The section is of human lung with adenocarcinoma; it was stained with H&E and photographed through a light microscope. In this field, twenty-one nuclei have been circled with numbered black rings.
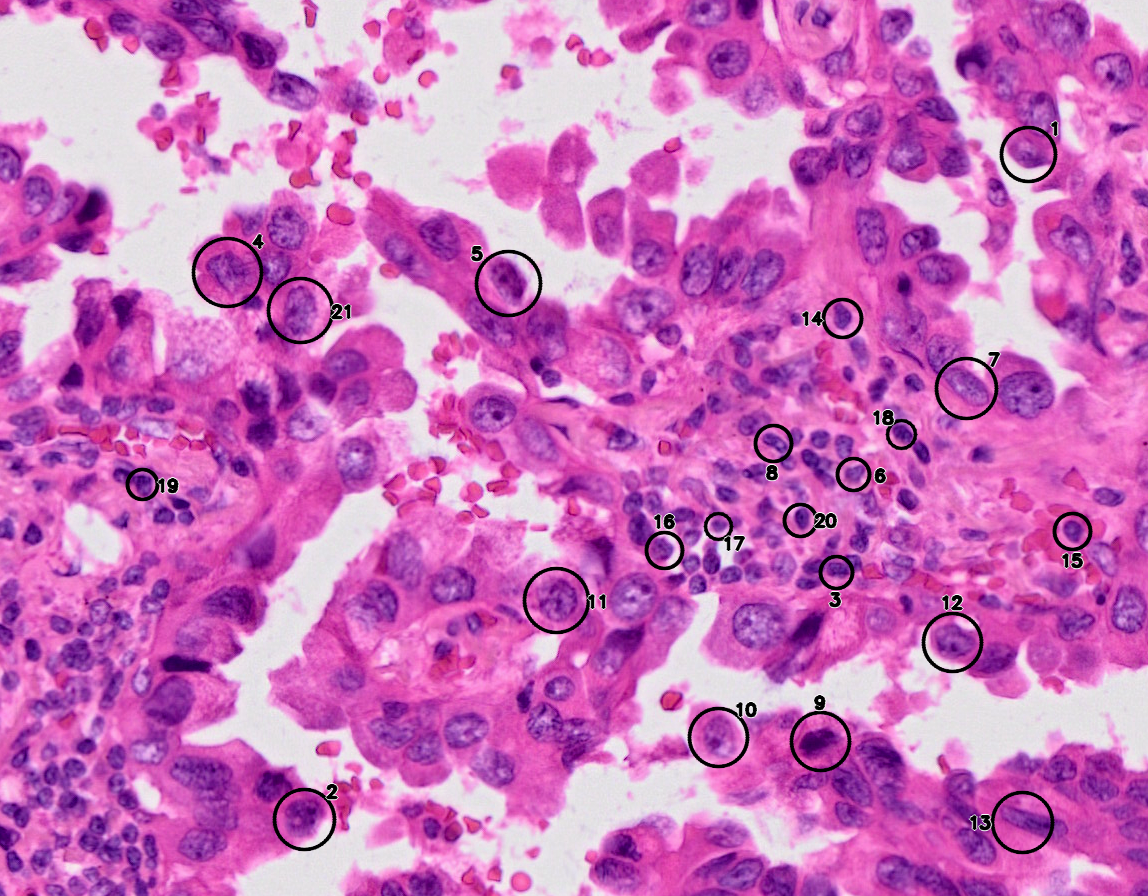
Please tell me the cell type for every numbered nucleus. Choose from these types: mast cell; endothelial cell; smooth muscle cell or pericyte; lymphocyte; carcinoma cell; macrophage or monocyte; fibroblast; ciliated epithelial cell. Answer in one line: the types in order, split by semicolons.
carcinoma cell; carcinoma cell; lymphocyte; carcinoma cell; carcinoma cell; lymphocyte; carcinoma cell; lymphocyte; carcinoma cell; carcinoma cell; carcinoma cell; carcinoma cell; carcinoma cell; lymphocyte; lymphocyte; lymphocyte; lymphocyte; lymphocyte; lymphocyte; lymphocyte; carcinoma cell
